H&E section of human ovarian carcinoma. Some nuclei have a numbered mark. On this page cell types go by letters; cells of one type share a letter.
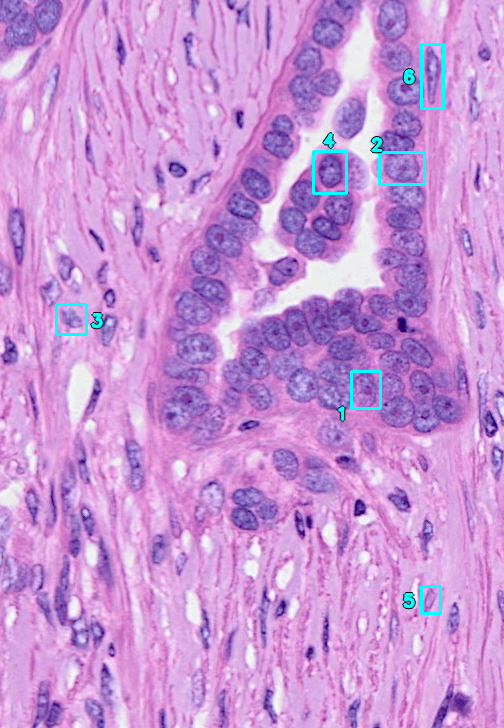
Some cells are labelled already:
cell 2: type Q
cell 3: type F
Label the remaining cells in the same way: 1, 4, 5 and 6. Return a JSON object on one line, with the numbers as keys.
{"1": "type Q", "4": "type Q", "5": "type F", "6": "type F"}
